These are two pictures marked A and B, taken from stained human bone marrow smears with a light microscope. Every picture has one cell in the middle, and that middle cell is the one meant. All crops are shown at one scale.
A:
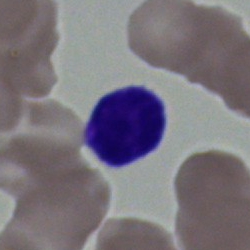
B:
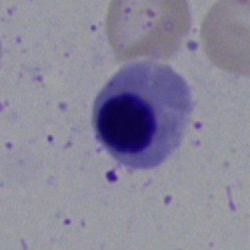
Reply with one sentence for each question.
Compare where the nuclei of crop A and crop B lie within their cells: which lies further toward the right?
The nucleus in crop A lies further toward the right of its cell.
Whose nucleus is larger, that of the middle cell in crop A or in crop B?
Crop A shows the larger nucleus; it covers about 2 times the area of the nucleus in crop B.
